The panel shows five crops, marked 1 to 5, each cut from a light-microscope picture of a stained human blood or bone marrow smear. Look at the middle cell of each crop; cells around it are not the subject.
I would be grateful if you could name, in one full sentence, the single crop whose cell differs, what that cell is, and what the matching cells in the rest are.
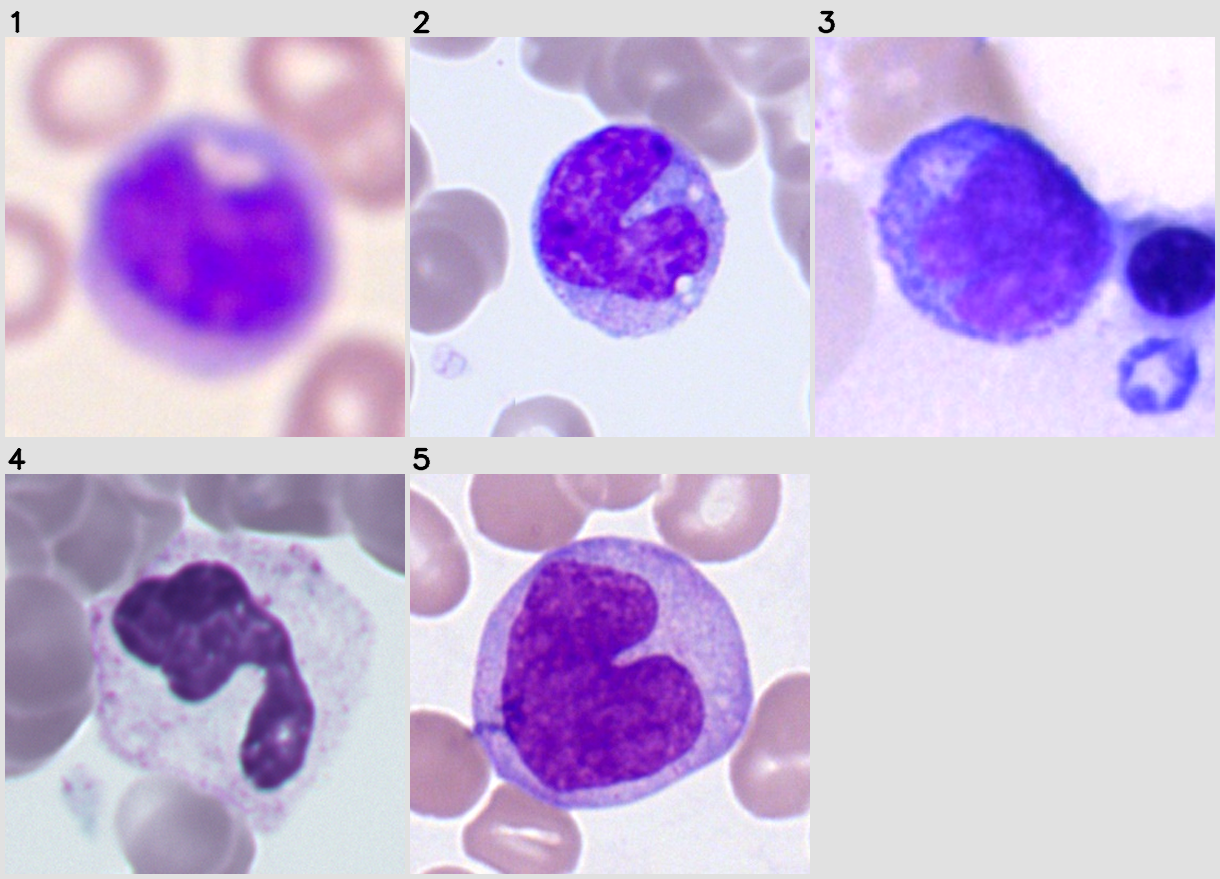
Crop 4 is a segmented neutrophil, while the rest of the set consists of monocytes.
